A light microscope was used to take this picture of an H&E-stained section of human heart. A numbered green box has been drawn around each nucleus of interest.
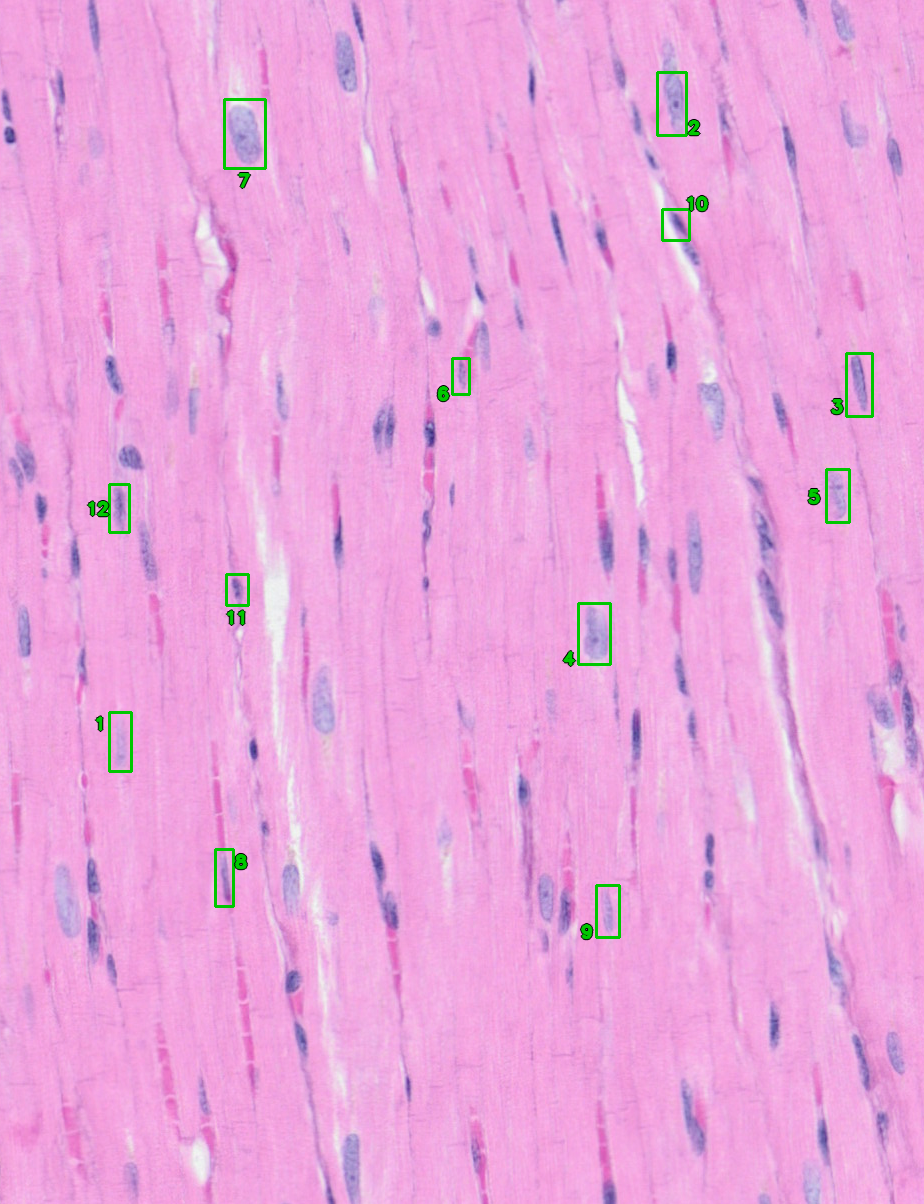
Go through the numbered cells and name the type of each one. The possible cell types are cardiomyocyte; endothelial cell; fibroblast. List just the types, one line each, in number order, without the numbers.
cardiomyocyte
cardiomyocyte
cardiomyocyte
cardiomyocyte
cardiomyocyte
endothelial cell
cardiomyocyte
endothelial cell
cardiomyocyte
endothelial cell
endothelial cell
endothelial cell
